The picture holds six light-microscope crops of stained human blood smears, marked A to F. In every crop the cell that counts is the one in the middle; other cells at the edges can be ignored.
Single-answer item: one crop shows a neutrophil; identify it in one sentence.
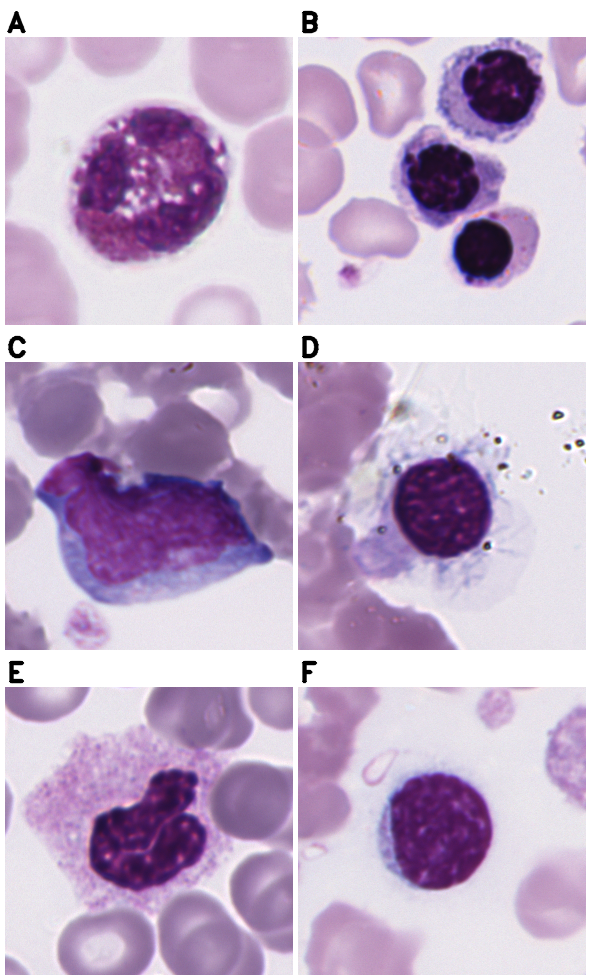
It is the cell in crop E that is a neutrophil.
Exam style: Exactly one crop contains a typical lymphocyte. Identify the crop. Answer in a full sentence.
It is crop F, not any other, that shows a typical lymphocyte.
